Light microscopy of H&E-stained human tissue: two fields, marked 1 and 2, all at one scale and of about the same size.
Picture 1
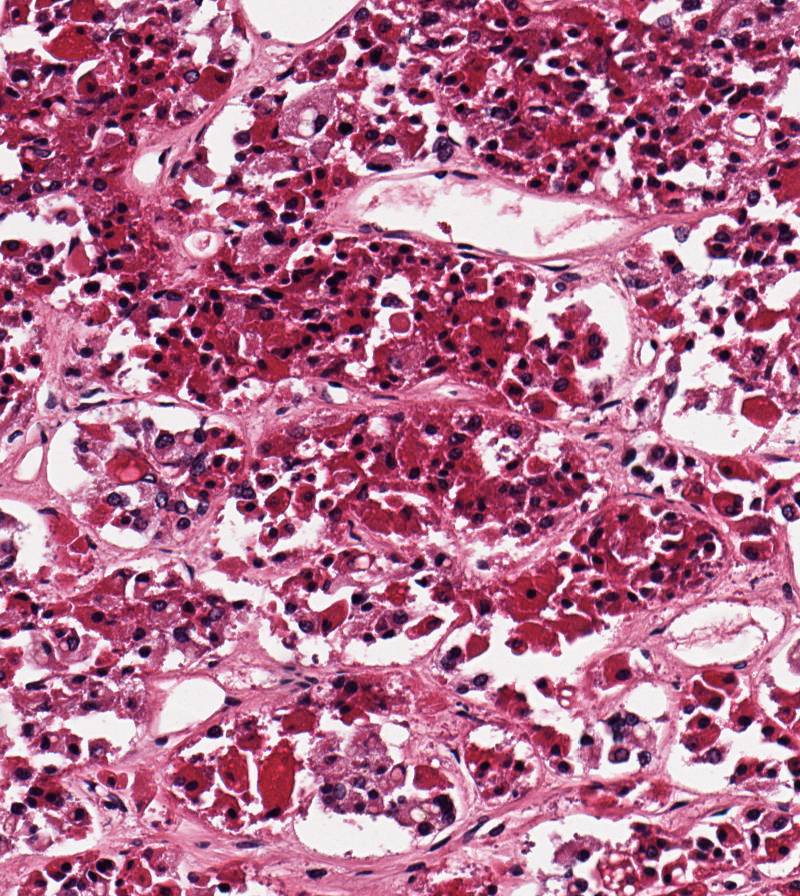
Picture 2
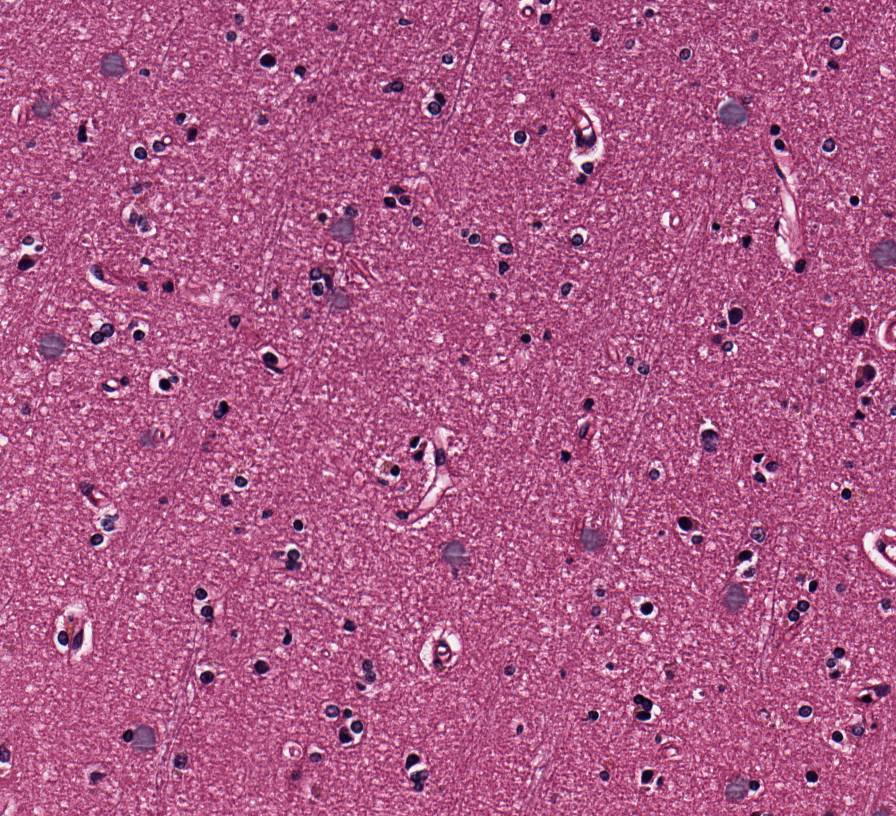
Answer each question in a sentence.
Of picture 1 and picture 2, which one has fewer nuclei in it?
There are fewer nuclei in picture 2.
